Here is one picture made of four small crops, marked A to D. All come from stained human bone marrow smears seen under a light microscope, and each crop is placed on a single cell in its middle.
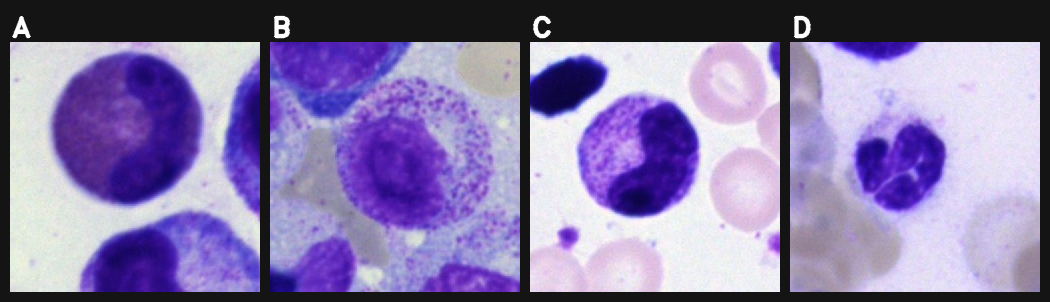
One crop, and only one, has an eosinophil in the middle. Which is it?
A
